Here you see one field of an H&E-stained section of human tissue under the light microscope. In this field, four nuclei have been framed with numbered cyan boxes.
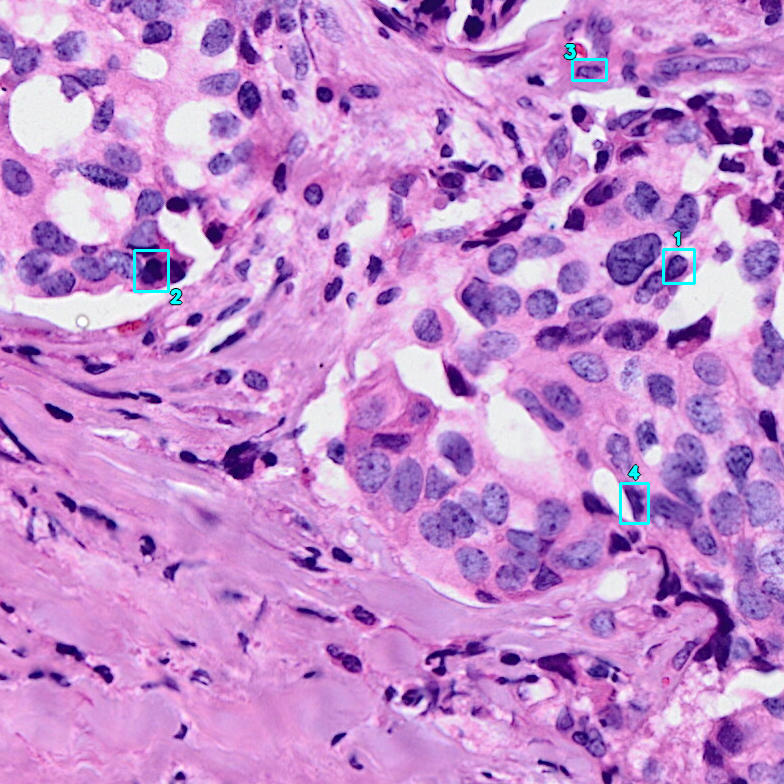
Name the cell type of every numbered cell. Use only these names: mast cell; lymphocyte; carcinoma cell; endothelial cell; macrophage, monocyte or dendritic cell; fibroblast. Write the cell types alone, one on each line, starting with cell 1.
carcinoma cell
carcinoma cell
endothelial cell
carcinoma cell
